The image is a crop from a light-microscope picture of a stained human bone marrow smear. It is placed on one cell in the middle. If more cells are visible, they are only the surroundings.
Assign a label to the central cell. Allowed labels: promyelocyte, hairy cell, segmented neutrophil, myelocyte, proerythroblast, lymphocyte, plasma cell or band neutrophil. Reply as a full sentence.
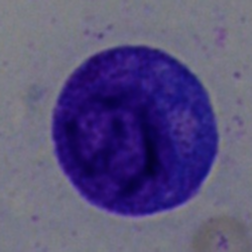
Among the cells in view, the one in the middle is a promyelocyte.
